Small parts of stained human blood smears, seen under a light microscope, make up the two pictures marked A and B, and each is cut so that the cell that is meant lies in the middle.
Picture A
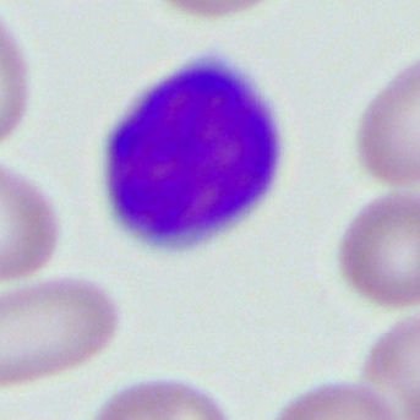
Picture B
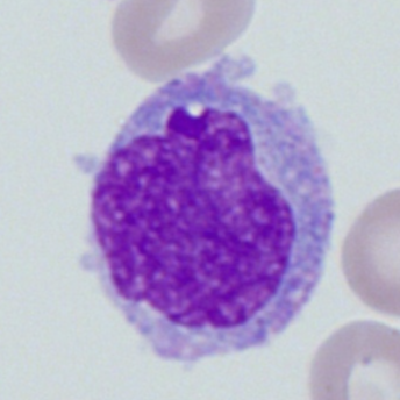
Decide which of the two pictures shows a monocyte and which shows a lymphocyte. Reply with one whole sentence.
Picture A is of a lymphocyte, and picture B is of a monocyte.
